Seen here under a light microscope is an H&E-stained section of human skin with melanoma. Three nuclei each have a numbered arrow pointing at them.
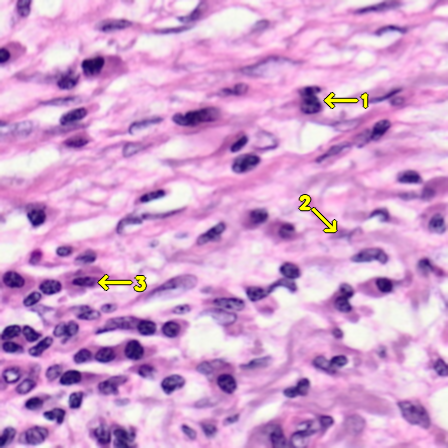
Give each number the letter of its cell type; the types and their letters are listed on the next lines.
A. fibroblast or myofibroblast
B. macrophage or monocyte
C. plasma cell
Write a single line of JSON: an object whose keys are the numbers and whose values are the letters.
{"1": "C", "2": "A", "3": "C"}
